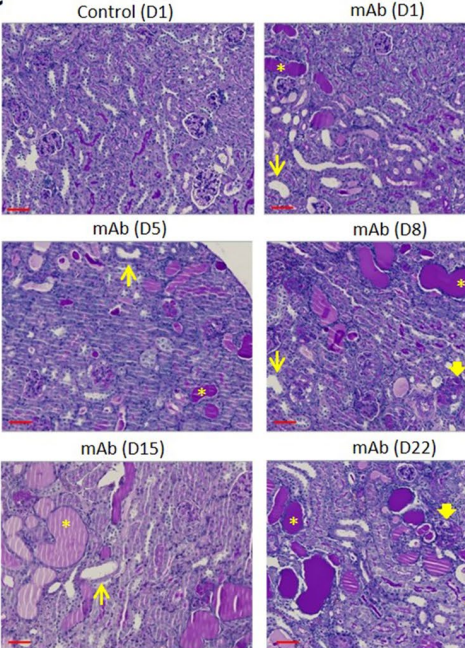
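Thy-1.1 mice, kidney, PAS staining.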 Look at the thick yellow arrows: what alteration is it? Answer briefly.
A: glomerular sclerosis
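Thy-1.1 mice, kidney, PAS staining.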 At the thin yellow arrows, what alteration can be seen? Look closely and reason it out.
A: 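Tubule dilatation. The thin arrows point to tubules with wide, empty lumina. The epithelium lining these tubules is thin and flattened.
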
